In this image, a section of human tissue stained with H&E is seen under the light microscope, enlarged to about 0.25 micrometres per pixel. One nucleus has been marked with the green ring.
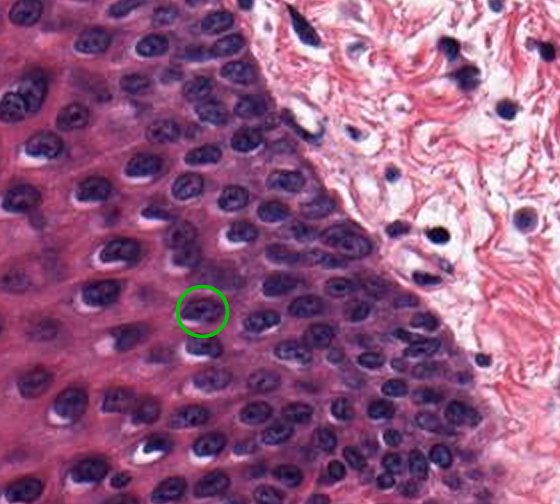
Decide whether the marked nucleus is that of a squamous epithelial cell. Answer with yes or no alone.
yes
